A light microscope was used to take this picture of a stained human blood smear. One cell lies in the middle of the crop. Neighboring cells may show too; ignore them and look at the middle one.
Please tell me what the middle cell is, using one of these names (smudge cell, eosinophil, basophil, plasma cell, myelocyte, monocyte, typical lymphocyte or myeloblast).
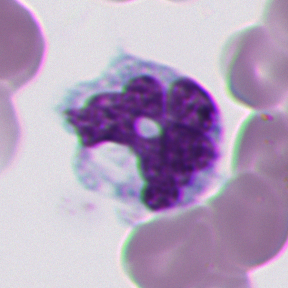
monocyte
